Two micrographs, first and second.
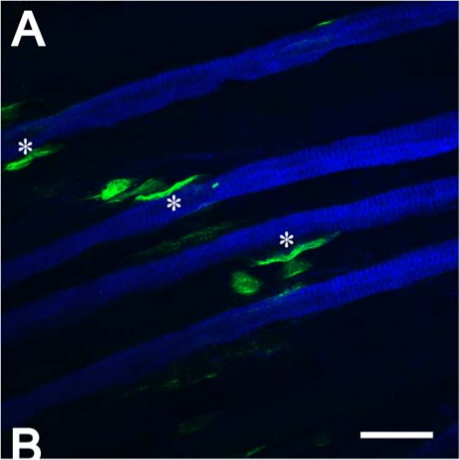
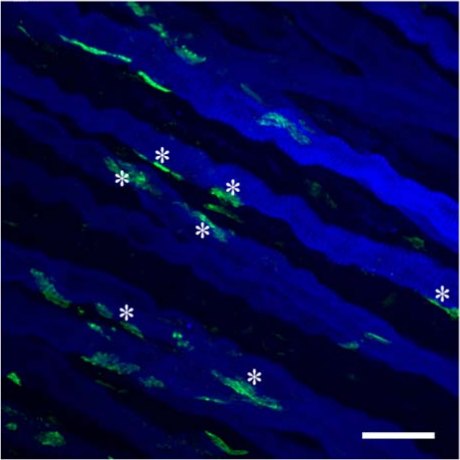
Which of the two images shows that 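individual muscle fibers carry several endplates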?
The second image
